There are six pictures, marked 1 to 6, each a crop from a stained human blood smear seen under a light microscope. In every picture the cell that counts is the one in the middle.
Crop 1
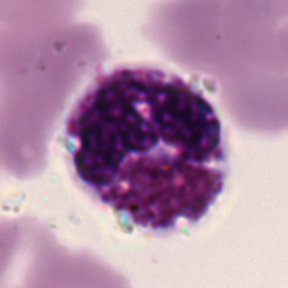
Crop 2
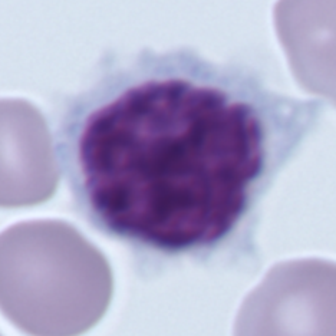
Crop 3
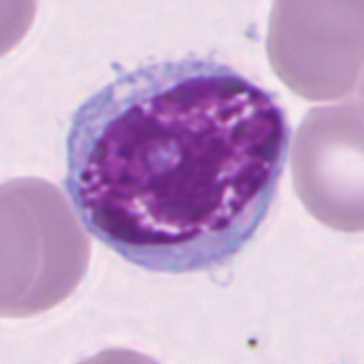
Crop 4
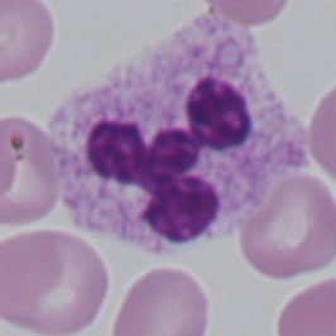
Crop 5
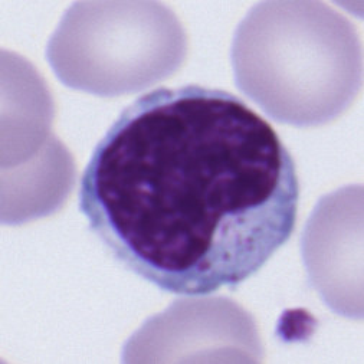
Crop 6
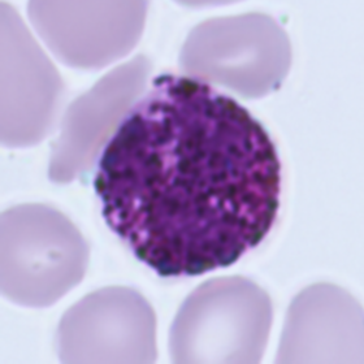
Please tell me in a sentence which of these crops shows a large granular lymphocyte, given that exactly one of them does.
The crop carrying a large granular lymphocyte at the center is crop 5.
